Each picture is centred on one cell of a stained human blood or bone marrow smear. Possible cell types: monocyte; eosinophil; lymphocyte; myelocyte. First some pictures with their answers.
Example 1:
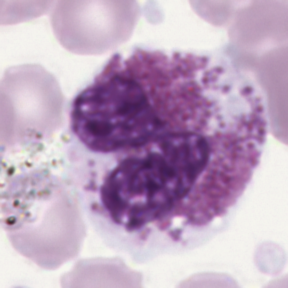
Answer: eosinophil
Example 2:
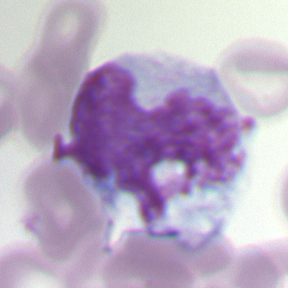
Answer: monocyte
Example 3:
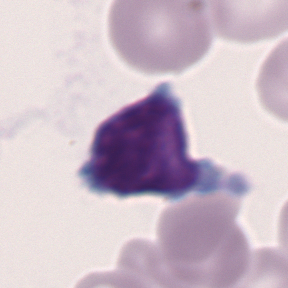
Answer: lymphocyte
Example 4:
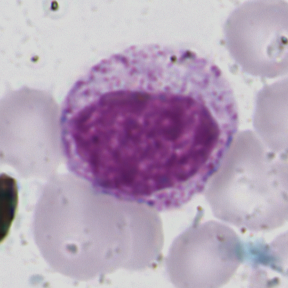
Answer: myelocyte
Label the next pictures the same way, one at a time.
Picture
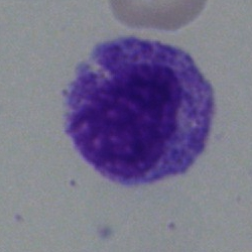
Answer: myelocyte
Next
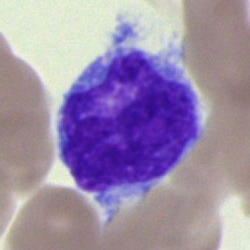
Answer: monocyte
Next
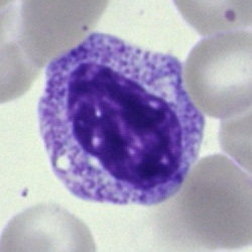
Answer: myelocyte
